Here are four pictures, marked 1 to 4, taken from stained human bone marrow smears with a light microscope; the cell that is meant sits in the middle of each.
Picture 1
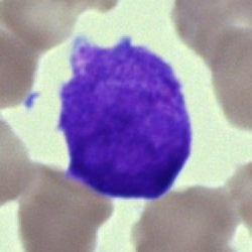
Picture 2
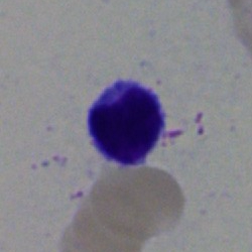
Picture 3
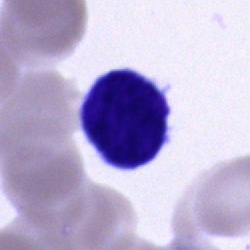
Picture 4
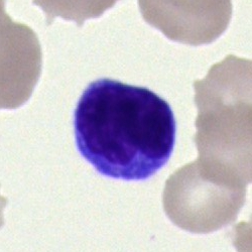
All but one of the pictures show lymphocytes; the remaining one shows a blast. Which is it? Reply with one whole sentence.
Picture 1 is the one that shows the blast.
